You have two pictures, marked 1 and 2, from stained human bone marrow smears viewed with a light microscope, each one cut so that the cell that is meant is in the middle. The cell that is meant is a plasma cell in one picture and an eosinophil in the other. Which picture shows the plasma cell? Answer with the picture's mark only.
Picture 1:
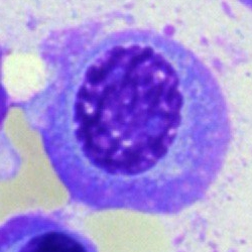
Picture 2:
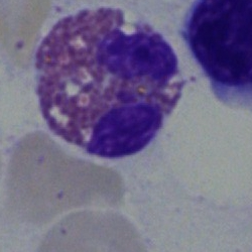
1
